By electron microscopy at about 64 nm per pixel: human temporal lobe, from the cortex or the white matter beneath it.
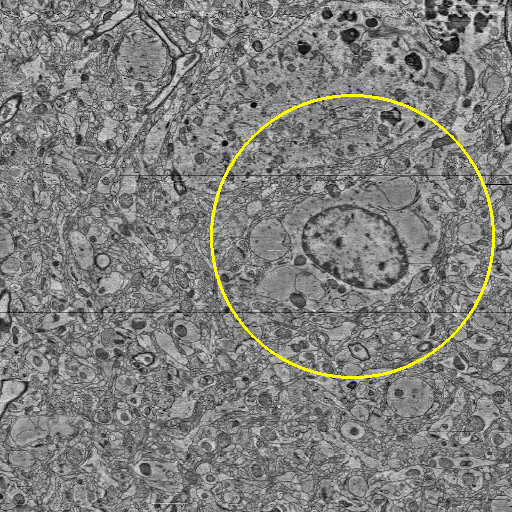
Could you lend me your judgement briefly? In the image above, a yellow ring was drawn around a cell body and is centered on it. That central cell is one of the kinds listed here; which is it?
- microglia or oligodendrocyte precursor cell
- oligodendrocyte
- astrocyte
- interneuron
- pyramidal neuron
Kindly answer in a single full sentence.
Going by the list, an astrocyte is the kind at the ring's center in the picture.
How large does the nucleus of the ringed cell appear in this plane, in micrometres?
The nucleus works out at approximately 7 by 5 micrometres in this plane.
